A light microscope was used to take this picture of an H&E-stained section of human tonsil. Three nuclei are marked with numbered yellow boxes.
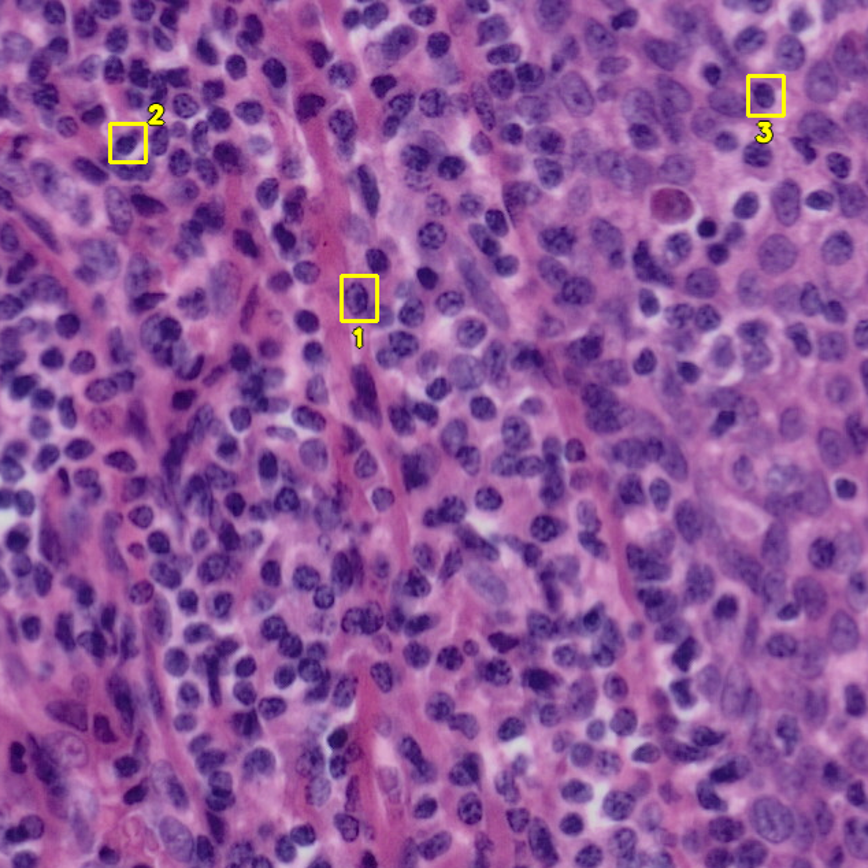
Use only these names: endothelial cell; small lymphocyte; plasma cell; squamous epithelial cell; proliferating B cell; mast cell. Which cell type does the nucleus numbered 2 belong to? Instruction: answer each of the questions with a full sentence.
The marked cell with the number 2 is recognised as a small lymphocyte.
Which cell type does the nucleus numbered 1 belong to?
That cell with number 1 is a plasma cell.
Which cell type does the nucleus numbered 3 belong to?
The cell to which the number 3 is assigned is a squamous epithelial cell.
